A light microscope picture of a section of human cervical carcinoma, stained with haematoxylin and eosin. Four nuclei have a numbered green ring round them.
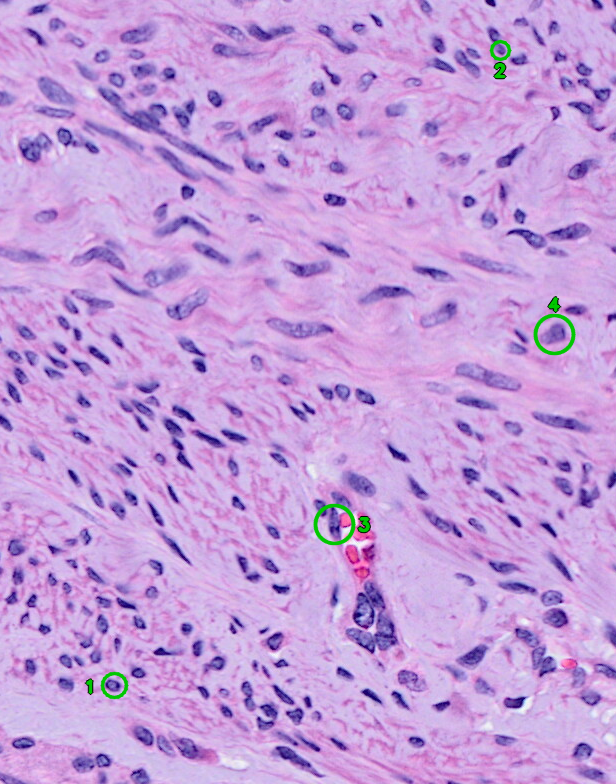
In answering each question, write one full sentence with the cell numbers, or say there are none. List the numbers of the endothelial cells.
Within the set of numbered cells, only number 3 is an endothelial cell.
